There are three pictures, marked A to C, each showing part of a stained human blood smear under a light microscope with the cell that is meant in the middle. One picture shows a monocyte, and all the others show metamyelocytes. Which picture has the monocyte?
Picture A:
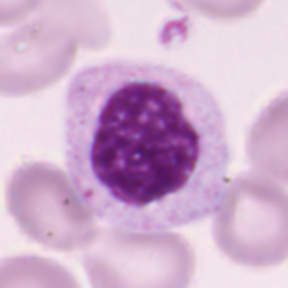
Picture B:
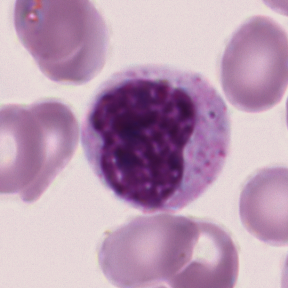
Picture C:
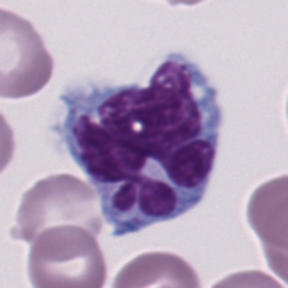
C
